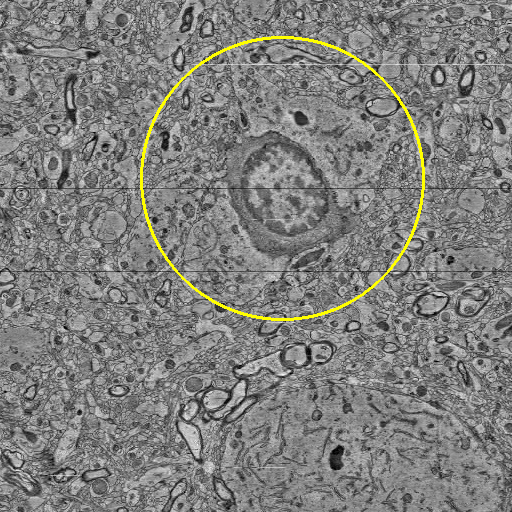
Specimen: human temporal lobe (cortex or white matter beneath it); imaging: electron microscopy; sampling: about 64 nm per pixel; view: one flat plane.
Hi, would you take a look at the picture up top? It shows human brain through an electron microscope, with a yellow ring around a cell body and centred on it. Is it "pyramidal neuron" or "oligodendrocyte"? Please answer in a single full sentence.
The best fit for the cell in the middle of the ring is an oligodendrocyte, I reckon.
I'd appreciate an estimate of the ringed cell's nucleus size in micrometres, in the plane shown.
The nucleus appears roughly 6 by 5 micrometres in this plane.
